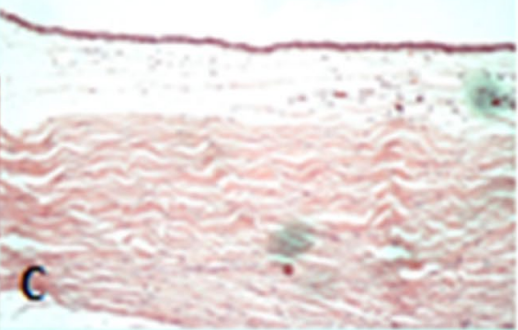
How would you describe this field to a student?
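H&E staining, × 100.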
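This shows the sclera beneath the conjunctiva and Tenon’s capsule. At the top a thin epithelial line covers a loose, paler connective tissue with scattered small nuclei. Below this, most of the field is dense scleral tissue: thick, wavy, pink collagen bundles running roughly parallel, with narrow clefts between them and very few nuclei.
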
